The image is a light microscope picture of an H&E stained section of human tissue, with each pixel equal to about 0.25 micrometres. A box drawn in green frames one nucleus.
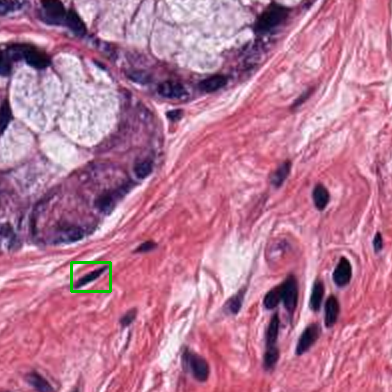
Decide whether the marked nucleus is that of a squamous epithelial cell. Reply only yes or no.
no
